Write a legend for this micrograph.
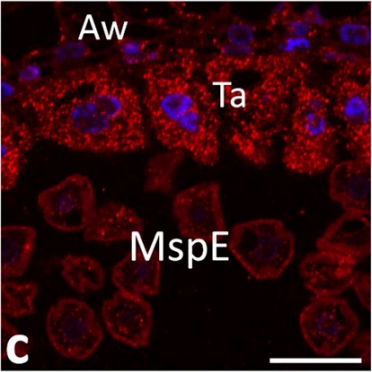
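The tapetal cells are large and densely filled with fine red granules, and their blue nuclei are partly irregular in shape. The microspores are separate, rounded to somewhat angular cells with a red rim at their periphery and scattered faint red dots inside, while their nuclei show only faint blue.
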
